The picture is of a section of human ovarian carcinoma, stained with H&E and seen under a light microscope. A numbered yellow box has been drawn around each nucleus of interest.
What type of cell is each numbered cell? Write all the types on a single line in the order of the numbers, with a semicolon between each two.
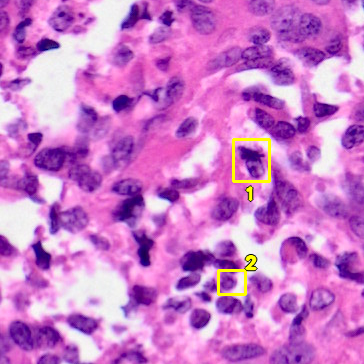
macrophage or monocyte; carcinoma cell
